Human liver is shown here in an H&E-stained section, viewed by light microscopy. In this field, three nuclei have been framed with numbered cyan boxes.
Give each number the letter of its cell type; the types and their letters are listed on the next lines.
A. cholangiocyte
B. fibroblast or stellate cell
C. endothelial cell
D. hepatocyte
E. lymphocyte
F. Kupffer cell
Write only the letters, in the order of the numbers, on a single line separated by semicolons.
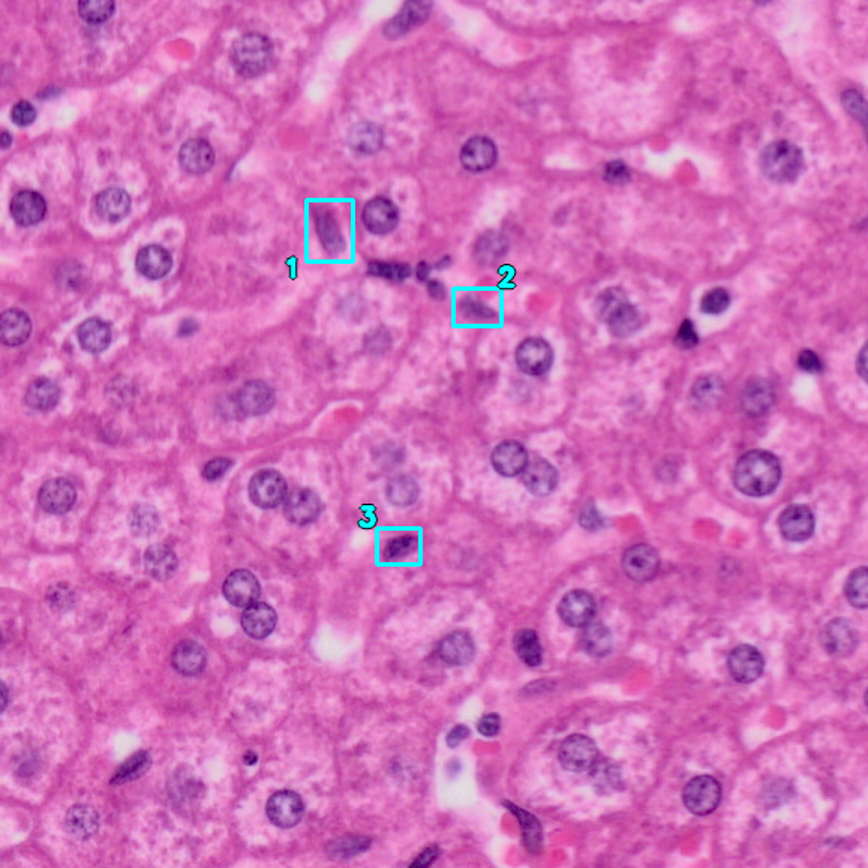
F; C; B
